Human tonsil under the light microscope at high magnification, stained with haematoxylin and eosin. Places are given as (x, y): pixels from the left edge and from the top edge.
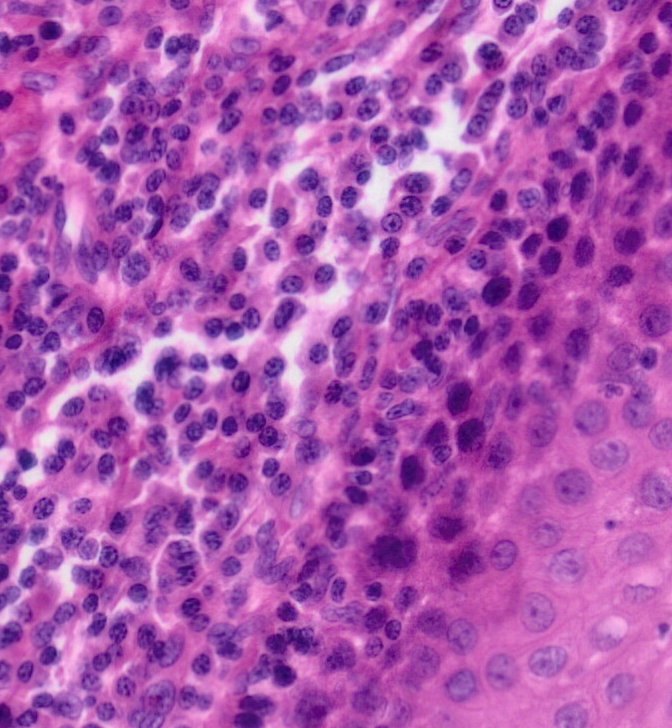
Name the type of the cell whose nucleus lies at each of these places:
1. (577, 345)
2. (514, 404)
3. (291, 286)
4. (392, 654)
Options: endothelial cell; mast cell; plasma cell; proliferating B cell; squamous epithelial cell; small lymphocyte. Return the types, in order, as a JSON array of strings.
["squamous epithelial cell", "squamous epithelial cell", "plasma cell", "squamous epithelial cell"]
